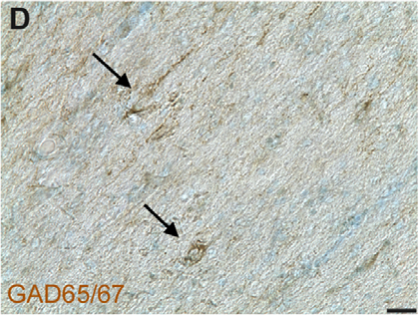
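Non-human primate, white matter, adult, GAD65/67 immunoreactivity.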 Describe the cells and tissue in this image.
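Two small brown cell bodies with short tapering processes stand out among the pale blue counterstained nuclei of the surrounding glia. Many fine brown fibres and puncta run roughly in parallel across the field, giving the background a faint, diffuse brown tinge. The stained neurons are isolated rather than clustered, lying within the fibre tracts.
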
